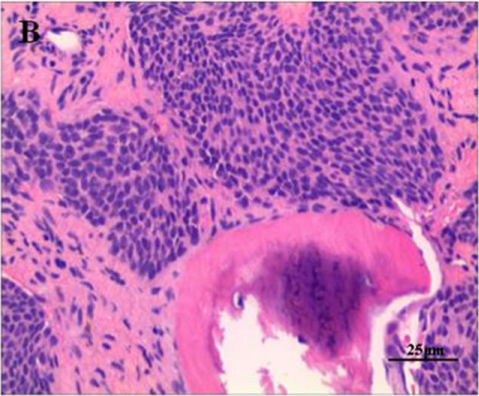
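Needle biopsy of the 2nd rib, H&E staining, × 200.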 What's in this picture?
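At medium power this tumour is arranged in cellular nests of small round cells. Each nest is a dense crowd of cells with scant cytoplasm and small oval dark purple nuclei, and the nests are separated by thin bands of paler pink, loosely fibrous stroma containing scattered spindle-shaped nuclei. The cells look monotonous, with little variation in nuclear size or shape.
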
